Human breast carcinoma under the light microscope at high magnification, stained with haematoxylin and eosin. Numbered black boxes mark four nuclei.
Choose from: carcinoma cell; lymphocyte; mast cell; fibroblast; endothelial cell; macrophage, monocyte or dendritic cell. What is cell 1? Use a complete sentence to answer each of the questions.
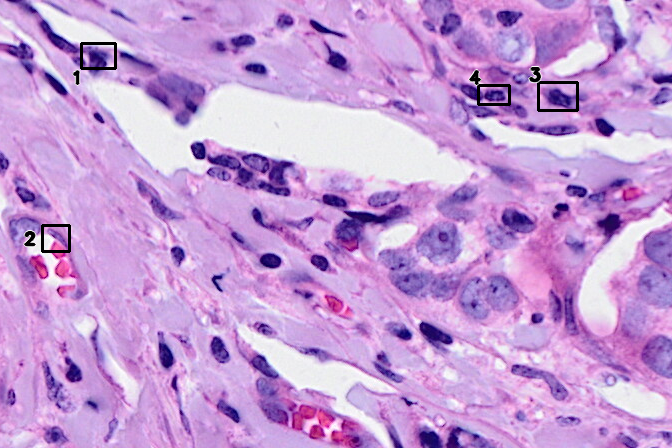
The mark numbered 1 indicates the nucleus of a lymphocyte.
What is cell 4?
The cell numbered 4 has been identified as a lymphocyte.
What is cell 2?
To an endothelial cell belongs the nucleus marked 2.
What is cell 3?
Regarding cell 3, this one is a lymphocyte.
